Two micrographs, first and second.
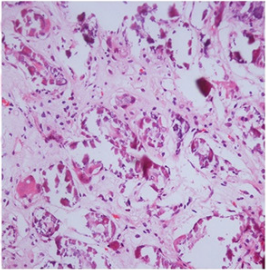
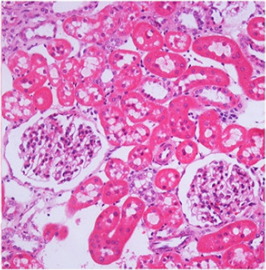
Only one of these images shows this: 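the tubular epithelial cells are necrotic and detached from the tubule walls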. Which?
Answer: The first image.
